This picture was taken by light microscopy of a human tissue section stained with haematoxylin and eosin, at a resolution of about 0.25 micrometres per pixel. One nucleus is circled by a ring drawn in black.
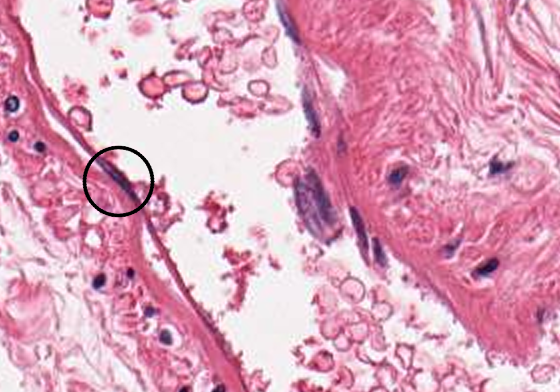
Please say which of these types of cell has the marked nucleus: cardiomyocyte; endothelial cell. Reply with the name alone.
endothelial cell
